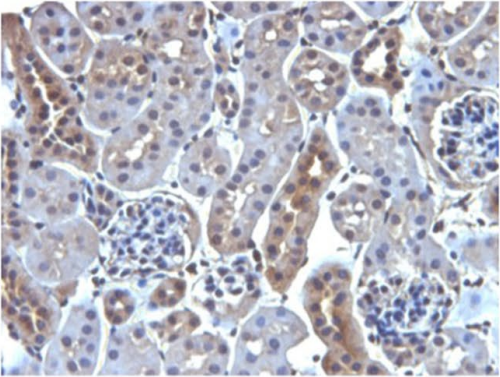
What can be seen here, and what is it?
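This is kidney tissue with cross- and oblique sections of renal tubules lined by cuboidal epithelial cells. Some tubules are stained brown, and others are pale. The brown staining is in the cytoplasm of the tubules of the distal nephron, which have clear, open lumens and a brown rim along the lumen side. The pale tubules have larger, paler cells and narrower, less distinct lumens. Round blue nuclei lie in a single row in each tubule. Several rounded, densely nucleated structures with blue nuclei and little brown staining lie between the tubules. Between the tubules there is only thin interstitium.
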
